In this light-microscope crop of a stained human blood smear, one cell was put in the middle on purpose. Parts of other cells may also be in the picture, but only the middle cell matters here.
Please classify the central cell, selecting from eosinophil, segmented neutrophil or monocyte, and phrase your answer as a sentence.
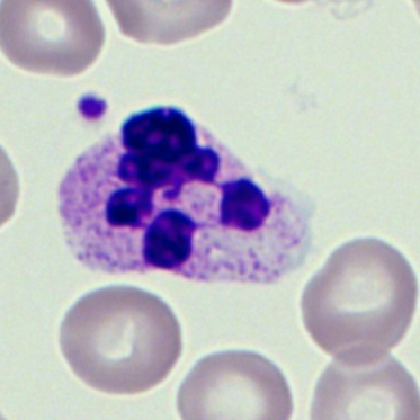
Present in the middle of the crop is a segmented neutrophil.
